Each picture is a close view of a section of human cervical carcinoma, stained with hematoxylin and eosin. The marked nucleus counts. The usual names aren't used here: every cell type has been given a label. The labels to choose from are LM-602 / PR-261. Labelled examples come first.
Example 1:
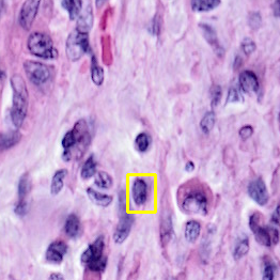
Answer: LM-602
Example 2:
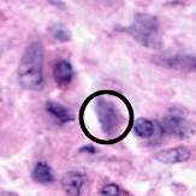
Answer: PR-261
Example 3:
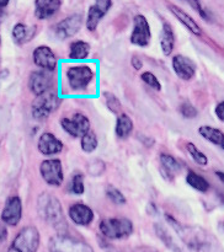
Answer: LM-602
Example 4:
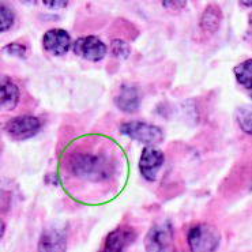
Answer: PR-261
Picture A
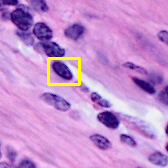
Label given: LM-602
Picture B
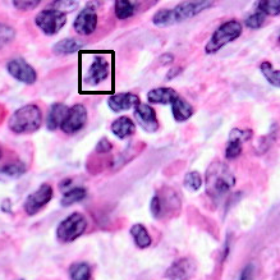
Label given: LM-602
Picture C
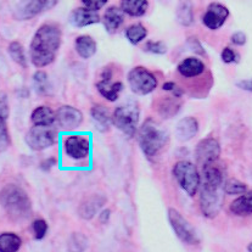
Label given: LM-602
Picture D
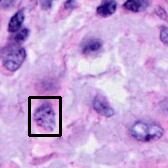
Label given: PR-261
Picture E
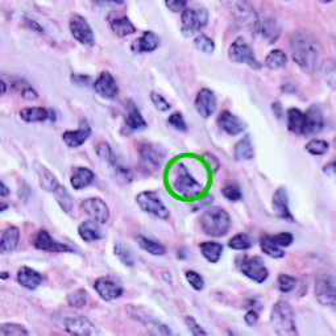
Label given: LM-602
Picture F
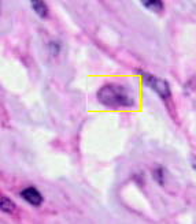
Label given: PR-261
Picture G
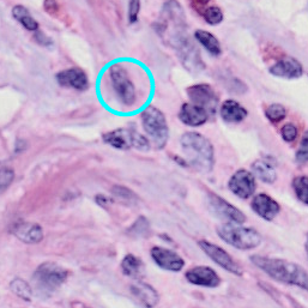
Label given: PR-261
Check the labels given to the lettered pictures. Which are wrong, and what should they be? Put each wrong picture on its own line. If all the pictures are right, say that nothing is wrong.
Every label is right.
